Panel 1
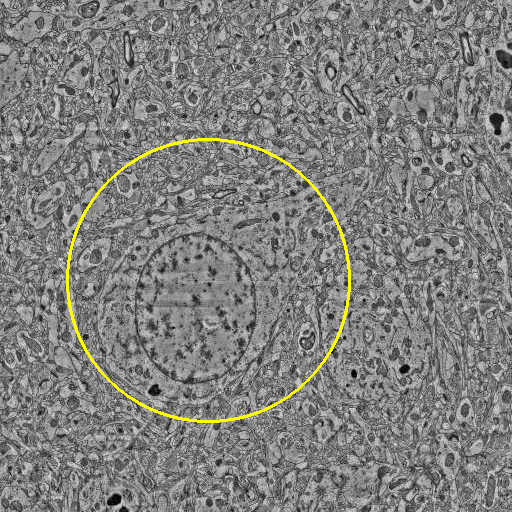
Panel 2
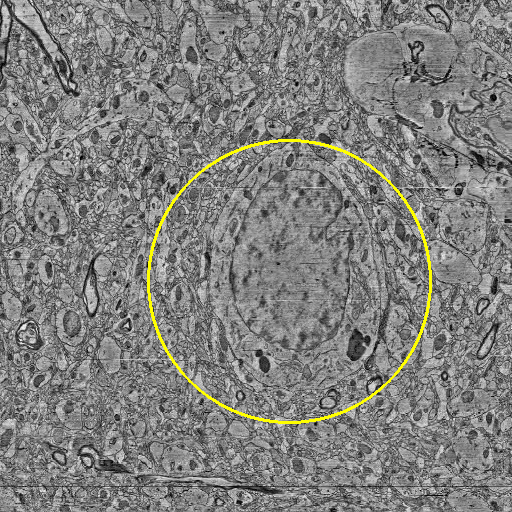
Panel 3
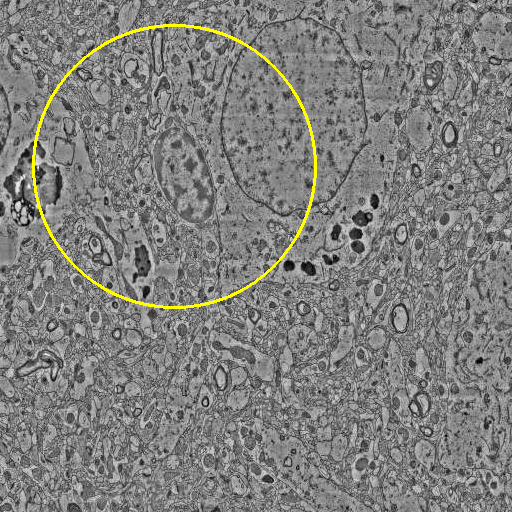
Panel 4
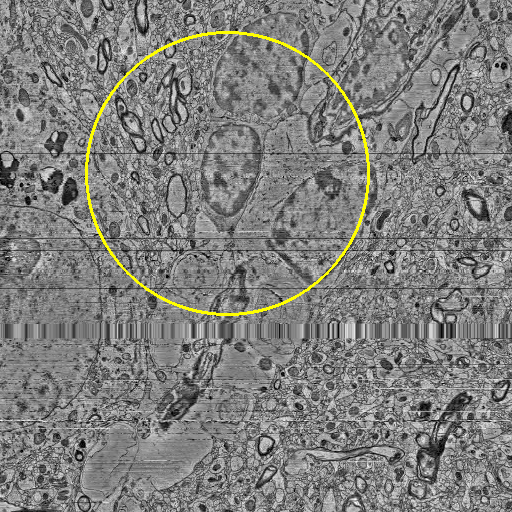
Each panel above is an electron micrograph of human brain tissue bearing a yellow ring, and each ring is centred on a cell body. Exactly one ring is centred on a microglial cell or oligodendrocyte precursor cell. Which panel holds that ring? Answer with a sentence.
That ring is in Panel 3.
